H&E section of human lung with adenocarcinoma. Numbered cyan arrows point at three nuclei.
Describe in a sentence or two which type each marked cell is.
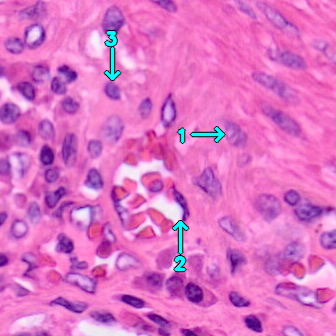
Cell 1 is a smooth muscle cell or pericyte. Cell 2 is an endothelial cell. Cell 3 is a mast cell.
